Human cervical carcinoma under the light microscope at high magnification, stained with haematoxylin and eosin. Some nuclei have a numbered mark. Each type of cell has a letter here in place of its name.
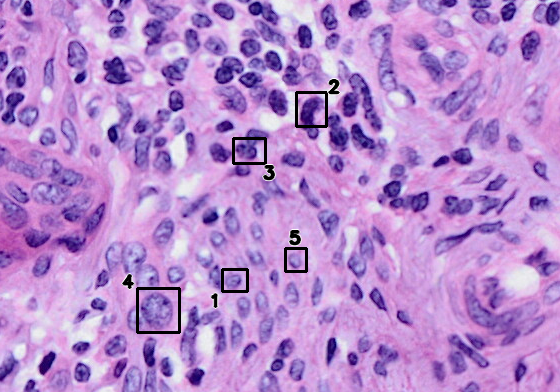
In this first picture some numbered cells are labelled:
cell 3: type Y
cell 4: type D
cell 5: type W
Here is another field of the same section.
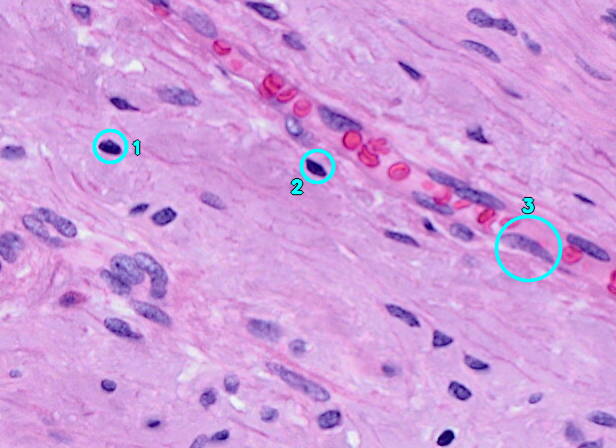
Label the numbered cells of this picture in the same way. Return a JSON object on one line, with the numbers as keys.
{"1": "type Y", "2": "type Y", "3": "type D"}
